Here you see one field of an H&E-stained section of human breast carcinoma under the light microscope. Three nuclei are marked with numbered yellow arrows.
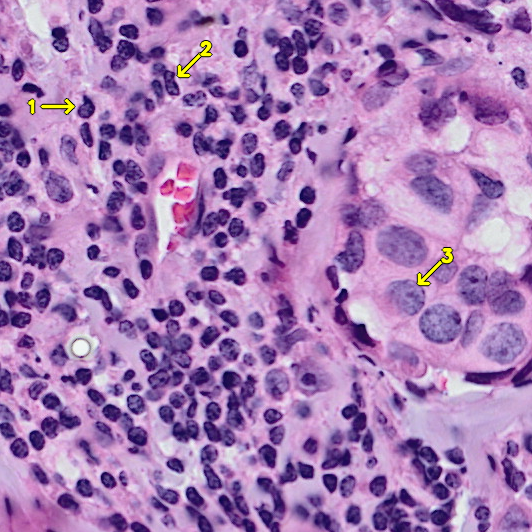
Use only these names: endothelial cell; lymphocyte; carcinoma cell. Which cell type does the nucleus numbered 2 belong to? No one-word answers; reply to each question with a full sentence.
Marked with the number 2, this cell is a lymphocyte.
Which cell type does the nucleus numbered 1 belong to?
The label 1 in this section denotes a lymphocyte.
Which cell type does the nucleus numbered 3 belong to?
Cell 3 in the field of view is a carcinoma cell.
